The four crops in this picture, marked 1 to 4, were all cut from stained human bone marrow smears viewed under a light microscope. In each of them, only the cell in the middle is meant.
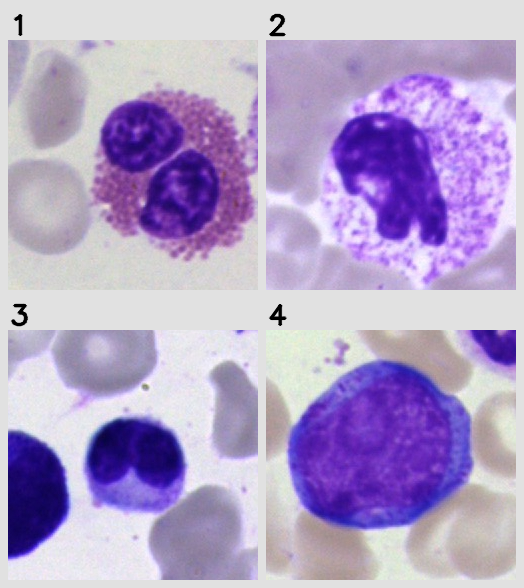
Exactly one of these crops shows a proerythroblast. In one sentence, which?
Crop 4 is the crop in which a proerythroblast is shown.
